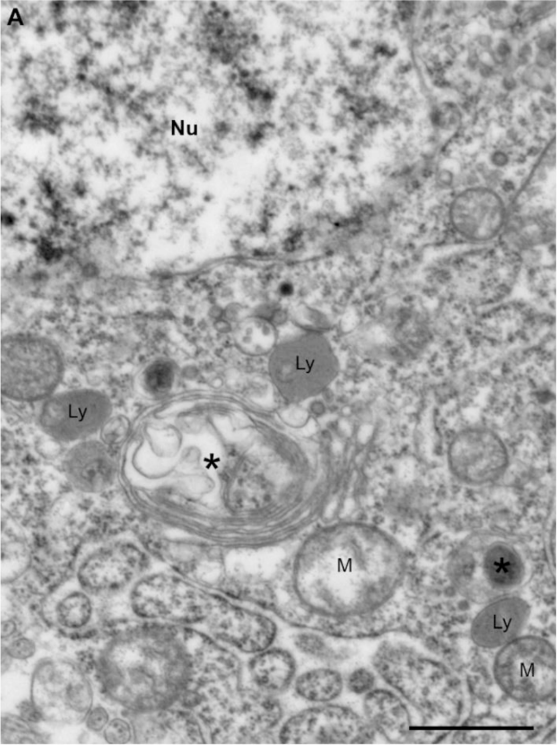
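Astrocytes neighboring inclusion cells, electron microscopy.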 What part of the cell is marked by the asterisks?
Membrane-bound degenerating organelles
